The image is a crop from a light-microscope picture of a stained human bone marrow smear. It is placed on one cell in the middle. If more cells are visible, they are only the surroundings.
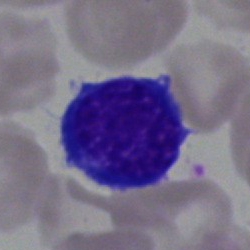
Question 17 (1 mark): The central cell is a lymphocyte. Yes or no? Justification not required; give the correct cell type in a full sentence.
Yes, the cell under consideration, the one in the middle, is a lymphocyte.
